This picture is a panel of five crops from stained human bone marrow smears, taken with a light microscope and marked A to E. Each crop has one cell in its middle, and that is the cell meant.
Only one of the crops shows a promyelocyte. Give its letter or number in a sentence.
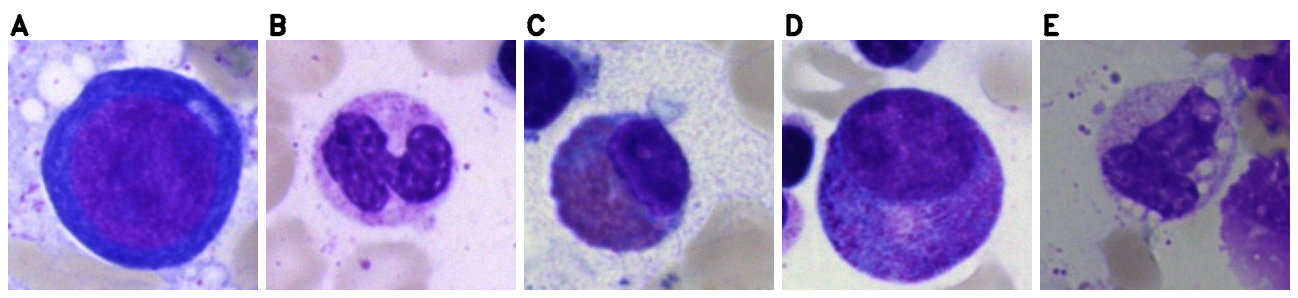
Of the crops given, a promyelocyte is found in crop D.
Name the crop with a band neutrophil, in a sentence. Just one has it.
Crop E, and no other, is the one that shows a band neutrophil.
